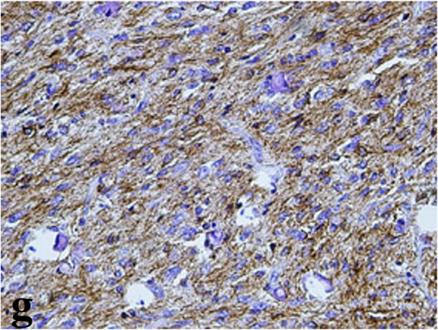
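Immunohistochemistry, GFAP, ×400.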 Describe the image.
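Spindle cells of the lesion are shown with brown stained fibrillary processes running in parallel streams across the field. Blue oval nuclei lie between the brown fibres, and a few small clear spaces interrupt the tissue.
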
